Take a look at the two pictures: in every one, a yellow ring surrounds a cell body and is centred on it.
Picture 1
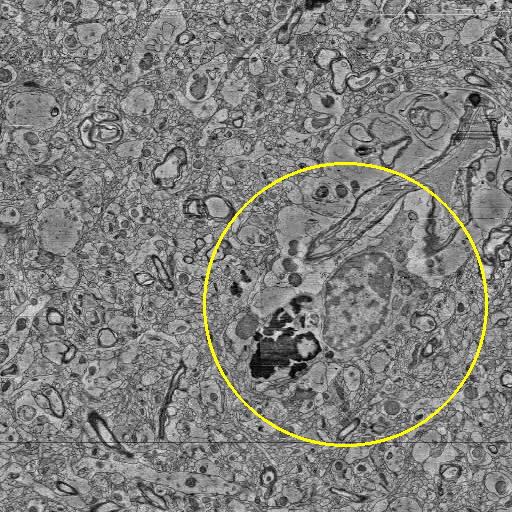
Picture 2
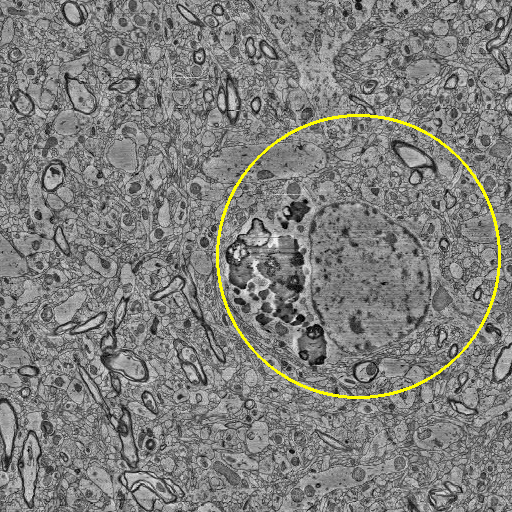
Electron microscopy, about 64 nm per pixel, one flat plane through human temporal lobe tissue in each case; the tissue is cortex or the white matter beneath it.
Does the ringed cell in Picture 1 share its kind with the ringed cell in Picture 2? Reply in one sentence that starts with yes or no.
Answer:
No, the two centred cells, one per picture, are of two kinds.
